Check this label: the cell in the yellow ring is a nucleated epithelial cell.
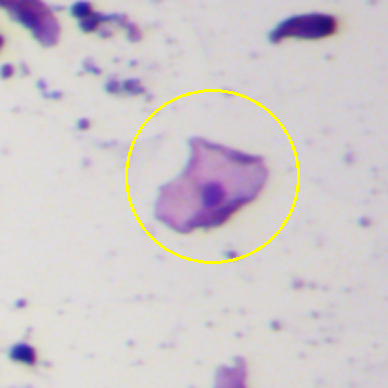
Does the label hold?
The label holds; the cell is a nucleated epithelial cell.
